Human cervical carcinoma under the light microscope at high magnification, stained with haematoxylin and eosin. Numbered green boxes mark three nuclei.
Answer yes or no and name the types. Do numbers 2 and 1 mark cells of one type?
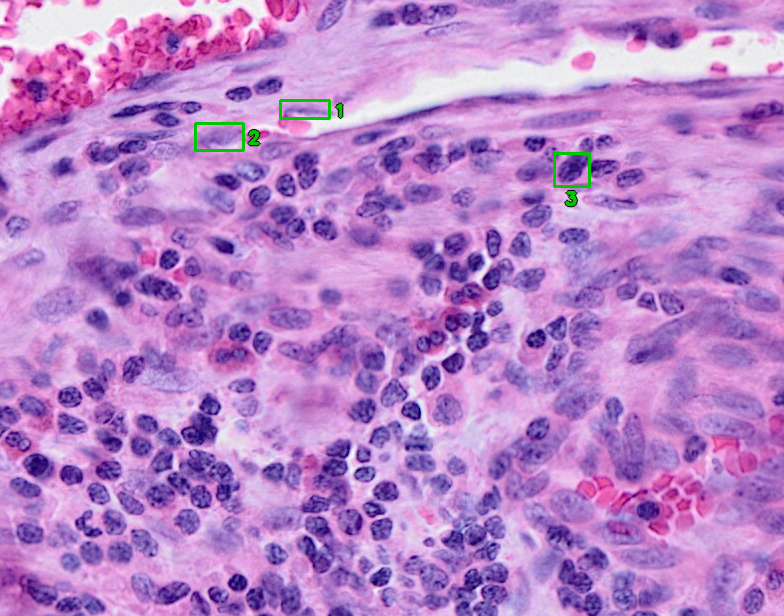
Yes, both cells, 2 and 1, are endothelial cells.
